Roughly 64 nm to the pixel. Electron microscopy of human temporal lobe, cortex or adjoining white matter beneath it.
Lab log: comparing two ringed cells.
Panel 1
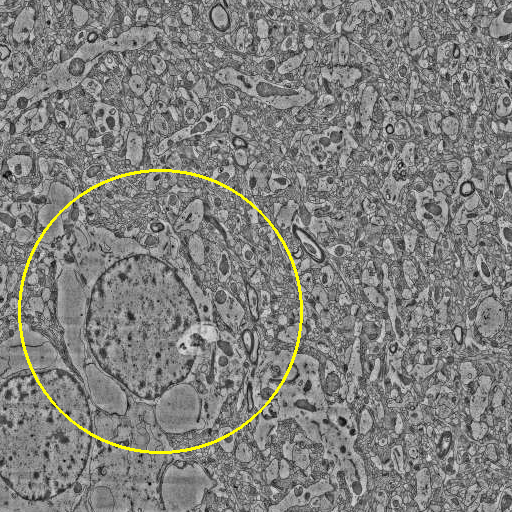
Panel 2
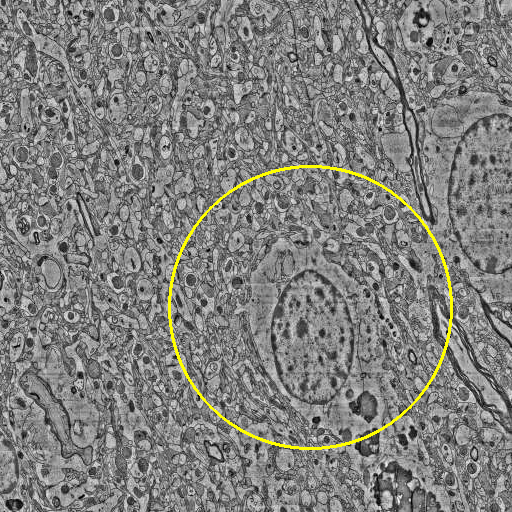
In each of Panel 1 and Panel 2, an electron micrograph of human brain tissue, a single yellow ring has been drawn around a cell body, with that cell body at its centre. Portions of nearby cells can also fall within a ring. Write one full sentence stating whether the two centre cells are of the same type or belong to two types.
The cells at the ring centres in Panel 1 and Panel 2 are of the same type.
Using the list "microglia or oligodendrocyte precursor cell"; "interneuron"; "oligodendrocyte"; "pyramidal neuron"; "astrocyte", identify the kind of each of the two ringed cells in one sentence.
Both rings mark an astrocyte, one in each picture.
